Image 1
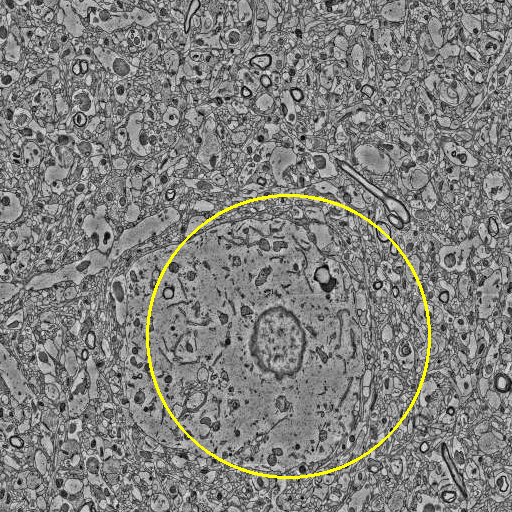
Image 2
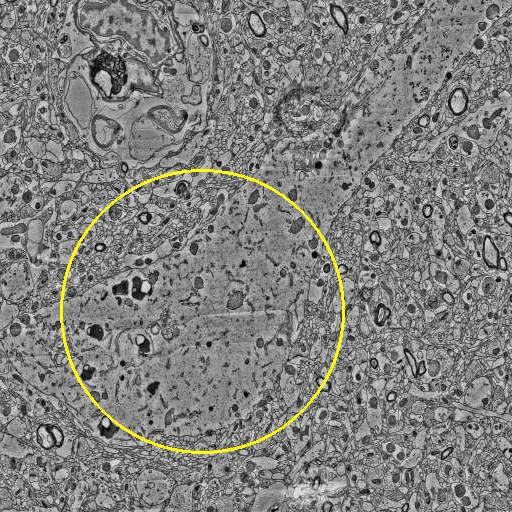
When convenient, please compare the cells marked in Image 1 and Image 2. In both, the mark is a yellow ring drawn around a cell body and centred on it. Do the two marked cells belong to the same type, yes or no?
yes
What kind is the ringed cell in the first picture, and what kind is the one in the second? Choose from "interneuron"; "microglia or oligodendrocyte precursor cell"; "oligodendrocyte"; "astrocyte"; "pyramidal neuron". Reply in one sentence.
In each picture the ringed cell is a pyramidal neuron.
